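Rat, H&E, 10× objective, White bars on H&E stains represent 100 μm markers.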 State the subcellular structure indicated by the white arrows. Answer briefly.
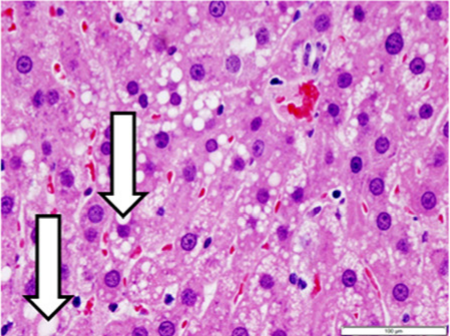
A: cytosolic lipid vacuoles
